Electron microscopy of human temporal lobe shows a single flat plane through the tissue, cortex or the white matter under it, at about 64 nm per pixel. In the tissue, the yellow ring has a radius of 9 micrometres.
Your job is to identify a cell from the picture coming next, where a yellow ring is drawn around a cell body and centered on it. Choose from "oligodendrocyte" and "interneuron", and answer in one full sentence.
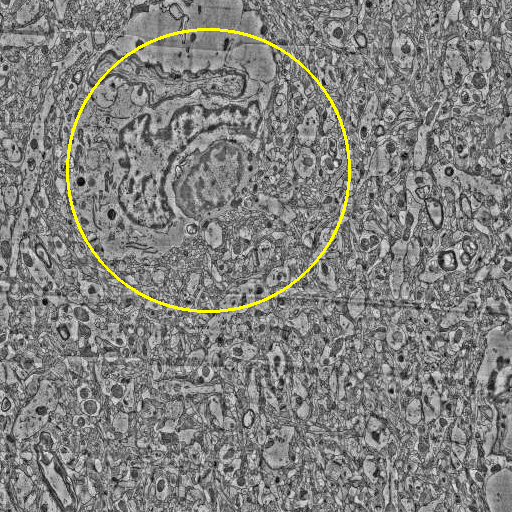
Centered in the yellow ring of the picture is the body of an oligodendrocyte.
